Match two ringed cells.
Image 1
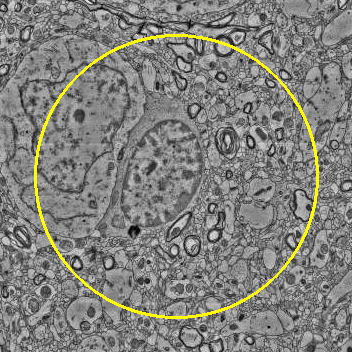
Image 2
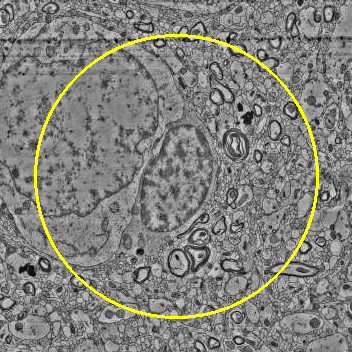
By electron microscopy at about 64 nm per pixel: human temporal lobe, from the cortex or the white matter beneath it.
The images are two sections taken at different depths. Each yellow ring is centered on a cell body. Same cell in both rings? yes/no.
yes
